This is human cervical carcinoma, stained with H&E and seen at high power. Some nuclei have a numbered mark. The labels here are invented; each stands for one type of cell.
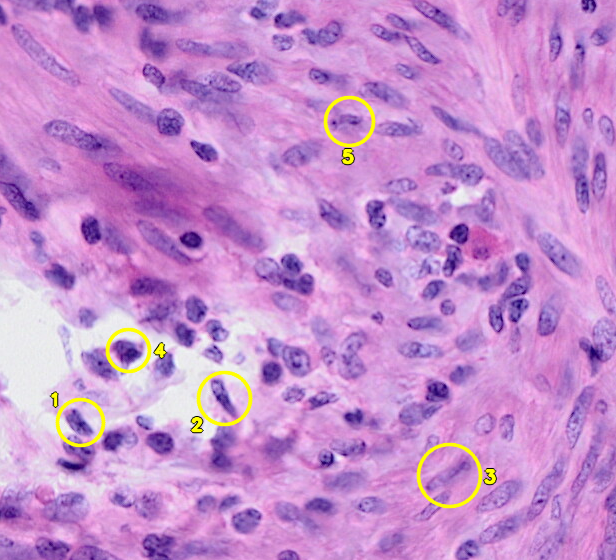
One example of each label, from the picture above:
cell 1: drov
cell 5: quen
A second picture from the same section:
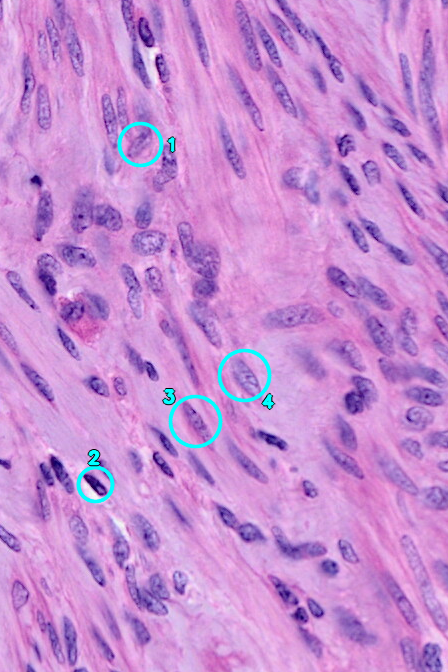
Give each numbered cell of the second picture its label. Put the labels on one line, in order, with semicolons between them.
quen; drov; quen; quen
